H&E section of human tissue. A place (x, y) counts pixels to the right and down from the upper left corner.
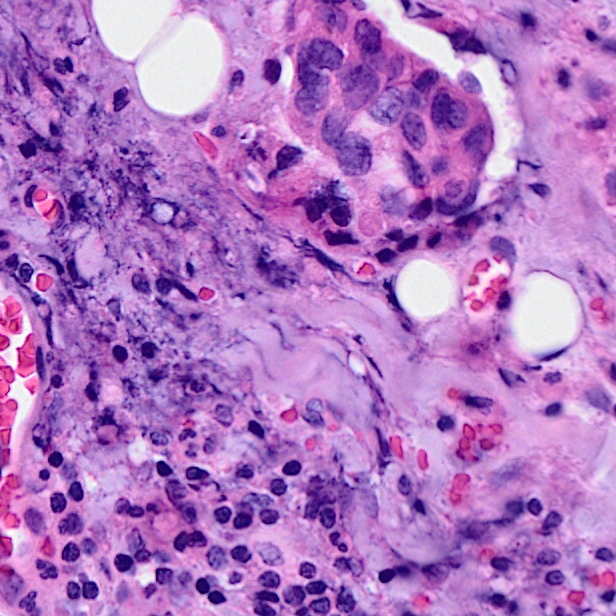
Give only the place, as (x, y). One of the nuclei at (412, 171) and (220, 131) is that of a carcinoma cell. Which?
(412, 171)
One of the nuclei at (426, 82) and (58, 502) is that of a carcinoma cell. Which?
(426, 82)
